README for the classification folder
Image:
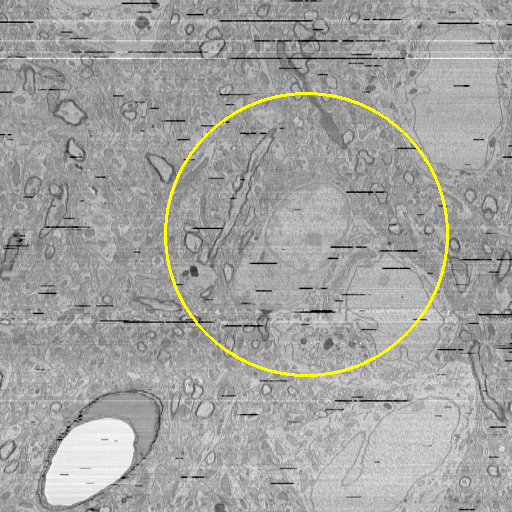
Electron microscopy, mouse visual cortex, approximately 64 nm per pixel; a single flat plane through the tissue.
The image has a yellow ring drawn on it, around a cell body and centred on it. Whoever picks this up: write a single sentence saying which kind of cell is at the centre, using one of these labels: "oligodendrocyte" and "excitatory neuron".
This cell body is that of an oligodendrocyte.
